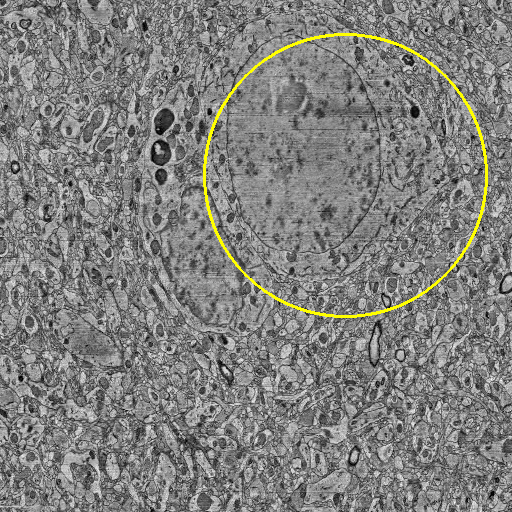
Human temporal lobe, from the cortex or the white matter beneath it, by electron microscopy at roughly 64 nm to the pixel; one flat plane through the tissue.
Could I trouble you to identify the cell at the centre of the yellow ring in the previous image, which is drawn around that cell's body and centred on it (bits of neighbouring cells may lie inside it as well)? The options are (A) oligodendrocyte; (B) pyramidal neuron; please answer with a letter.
B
